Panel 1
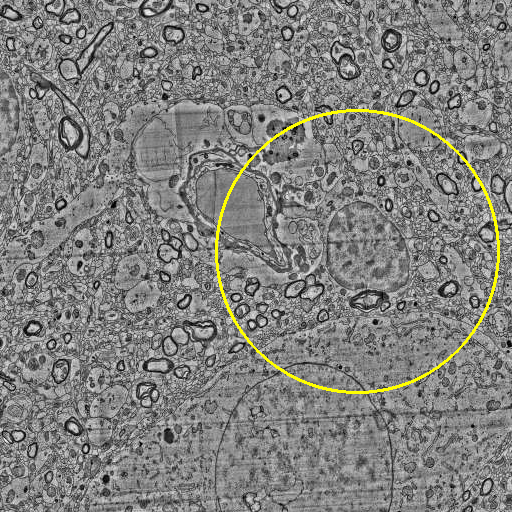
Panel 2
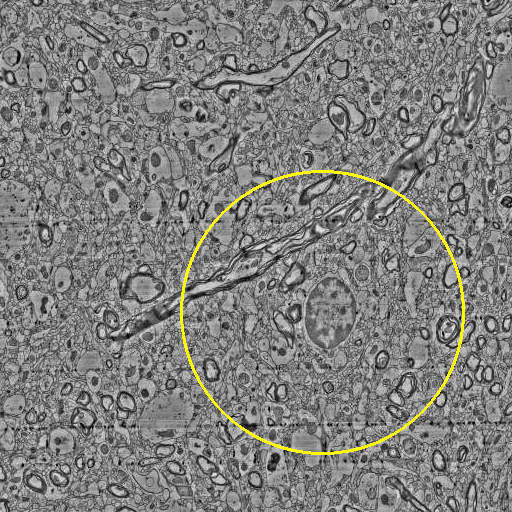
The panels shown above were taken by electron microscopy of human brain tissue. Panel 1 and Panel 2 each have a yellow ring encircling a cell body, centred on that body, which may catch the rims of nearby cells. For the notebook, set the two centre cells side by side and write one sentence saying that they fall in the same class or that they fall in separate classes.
The centred cells of Panel 1 and Panel 2 fall in separate classes.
